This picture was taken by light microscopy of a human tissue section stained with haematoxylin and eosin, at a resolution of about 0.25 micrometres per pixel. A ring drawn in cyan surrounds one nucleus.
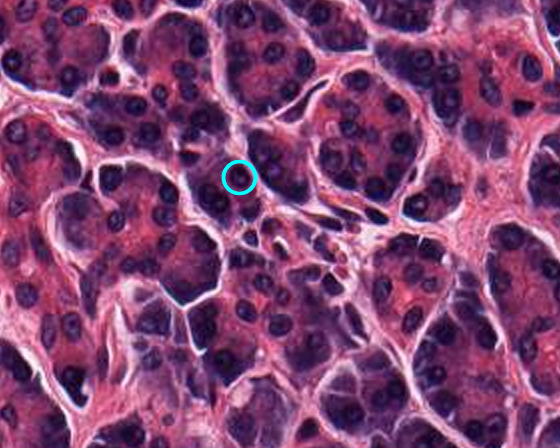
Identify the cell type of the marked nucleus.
pancreatic acinar cell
